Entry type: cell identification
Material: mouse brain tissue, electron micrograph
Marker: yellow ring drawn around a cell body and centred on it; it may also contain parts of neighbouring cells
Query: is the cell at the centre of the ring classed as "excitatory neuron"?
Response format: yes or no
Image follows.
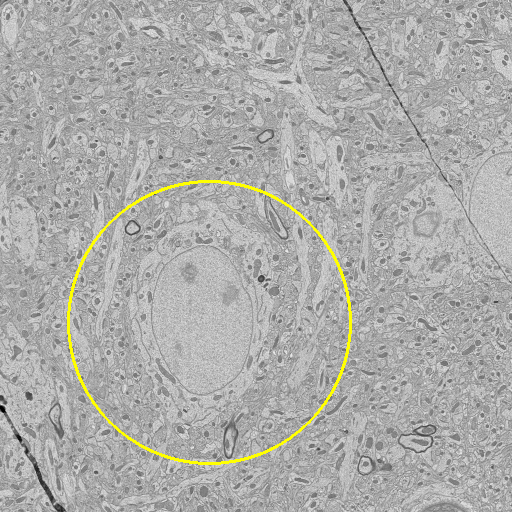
yes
